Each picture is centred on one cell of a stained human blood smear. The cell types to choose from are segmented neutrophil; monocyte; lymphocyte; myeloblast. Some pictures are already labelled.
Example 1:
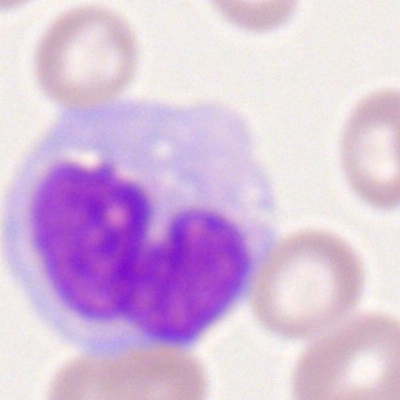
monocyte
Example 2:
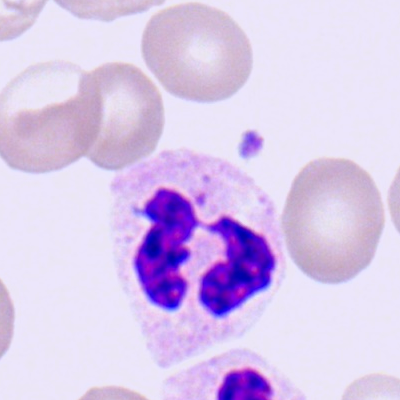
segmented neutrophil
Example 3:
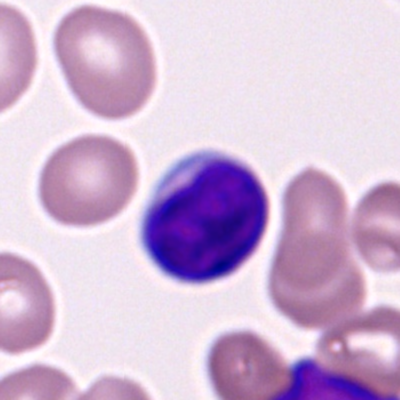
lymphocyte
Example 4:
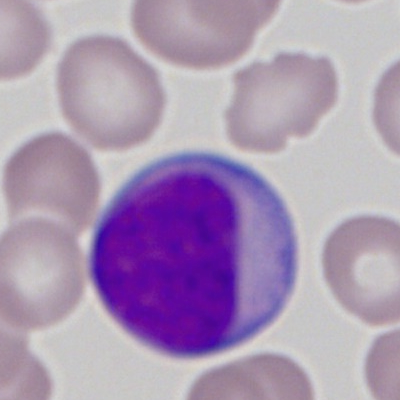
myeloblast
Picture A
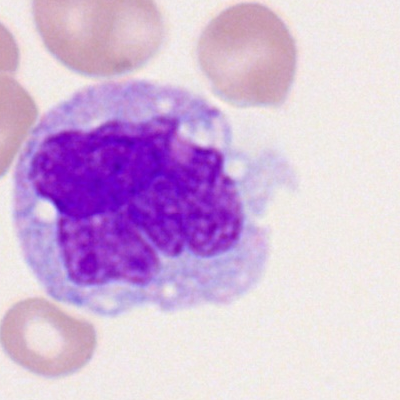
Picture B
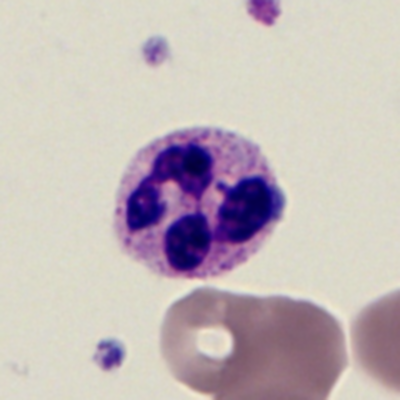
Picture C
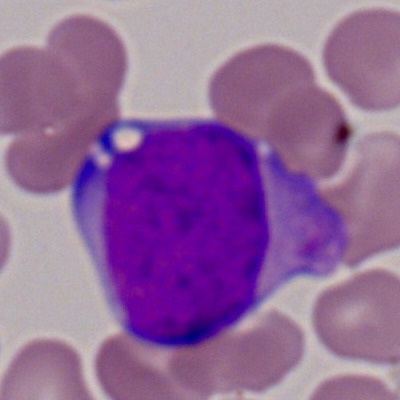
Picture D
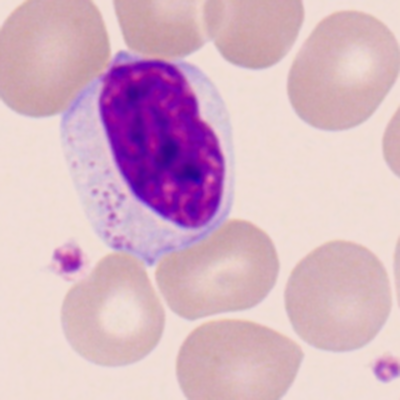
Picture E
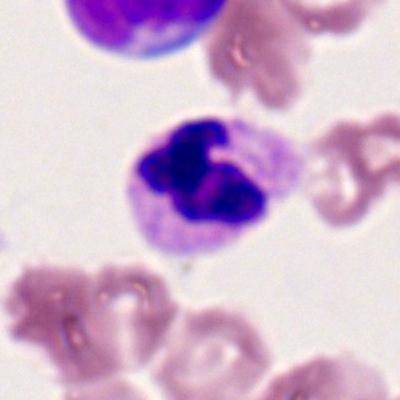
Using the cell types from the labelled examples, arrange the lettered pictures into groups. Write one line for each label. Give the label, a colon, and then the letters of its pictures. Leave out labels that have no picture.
segmented neutrophil: B, E
monocyte: A
lymphocyte: D
myeloblast: C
